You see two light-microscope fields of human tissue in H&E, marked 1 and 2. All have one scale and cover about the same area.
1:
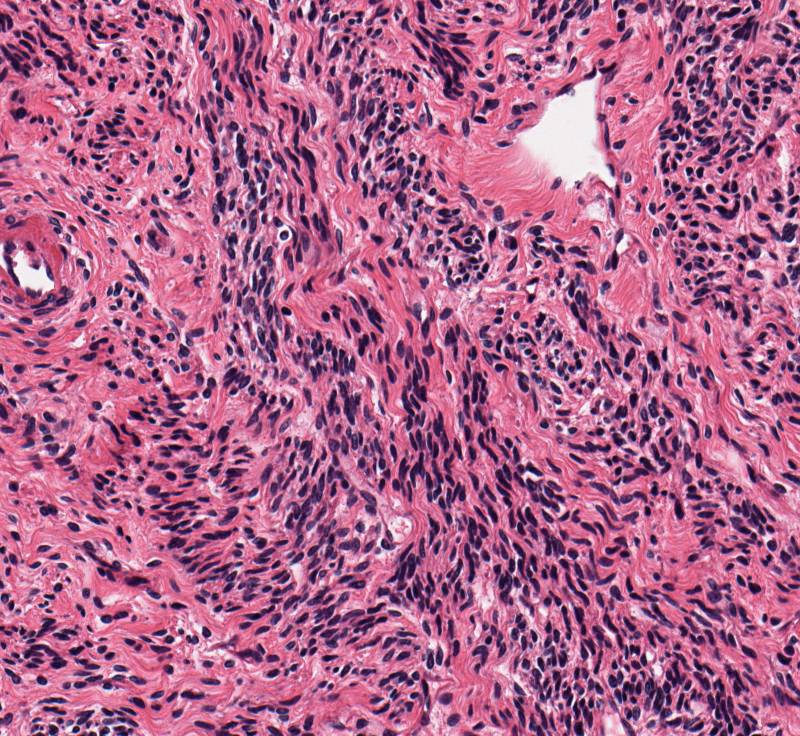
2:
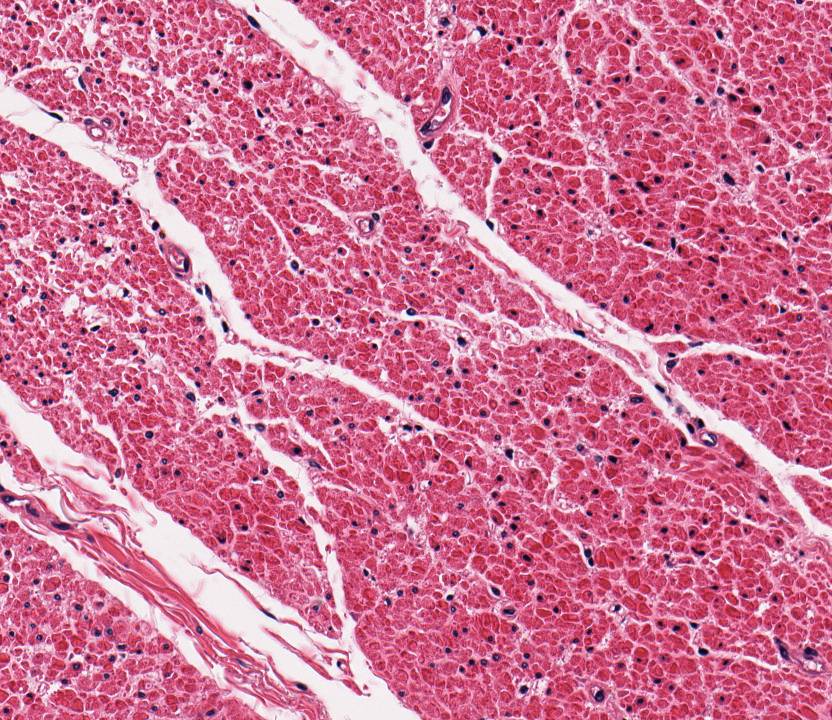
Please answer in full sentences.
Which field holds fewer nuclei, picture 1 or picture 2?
The smaller number of nuclei is in picture 2.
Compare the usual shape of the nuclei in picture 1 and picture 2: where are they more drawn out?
It is picture 1 whose nuclei are the more elongated.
